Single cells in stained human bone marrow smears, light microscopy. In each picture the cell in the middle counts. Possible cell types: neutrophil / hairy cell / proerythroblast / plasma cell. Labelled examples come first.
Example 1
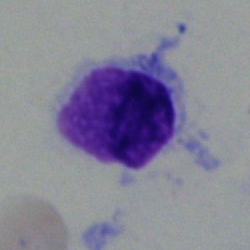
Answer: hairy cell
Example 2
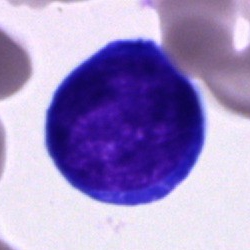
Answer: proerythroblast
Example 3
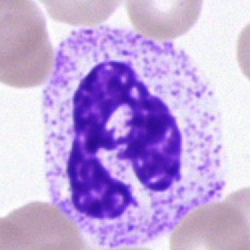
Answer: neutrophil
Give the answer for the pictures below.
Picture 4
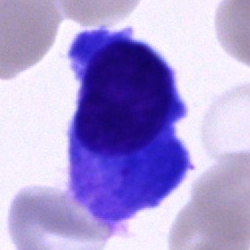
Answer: plasma cell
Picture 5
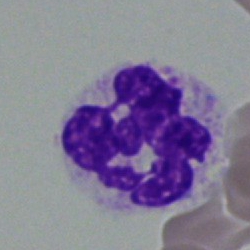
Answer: neutrophil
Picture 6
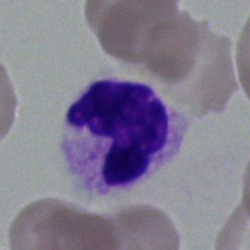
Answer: neutrophil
